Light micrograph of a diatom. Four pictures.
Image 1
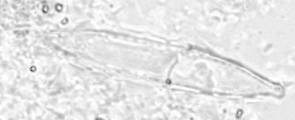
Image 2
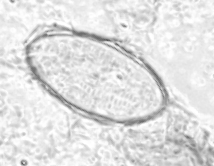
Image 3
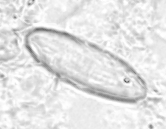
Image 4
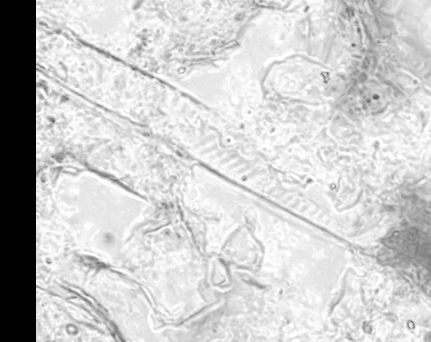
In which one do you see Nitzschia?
In picture 1.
